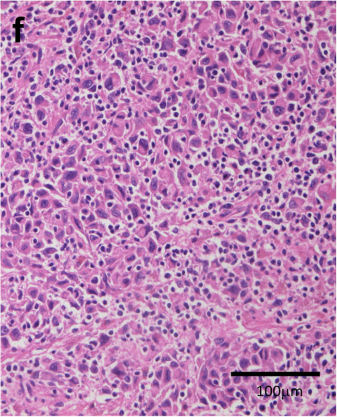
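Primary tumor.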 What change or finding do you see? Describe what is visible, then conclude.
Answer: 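Numerous small round dark-blue nuclei scattered densely between larger cells. Larger tumor cells with pink cytoplasm and large irregular nuclei among them. So: dense infiltration of lymphocytes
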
